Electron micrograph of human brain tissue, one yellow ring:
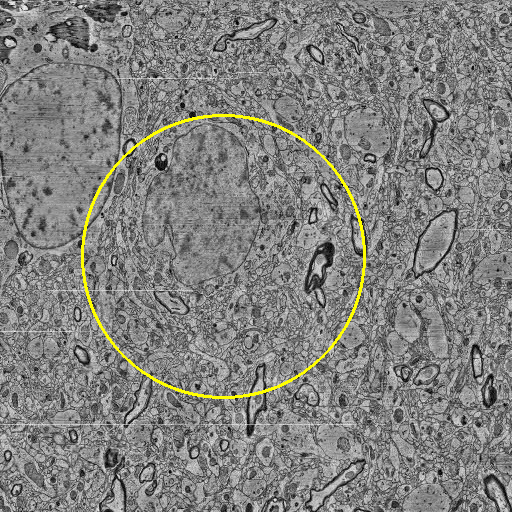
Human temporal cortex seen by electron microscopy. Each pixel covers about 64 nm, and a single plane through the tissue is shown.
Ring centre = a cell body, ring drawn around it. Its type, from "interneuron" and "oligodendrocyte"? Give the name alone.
interneuron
